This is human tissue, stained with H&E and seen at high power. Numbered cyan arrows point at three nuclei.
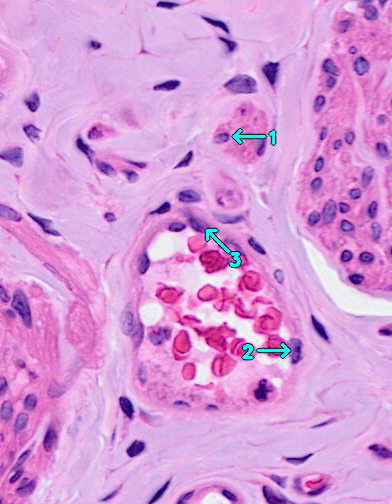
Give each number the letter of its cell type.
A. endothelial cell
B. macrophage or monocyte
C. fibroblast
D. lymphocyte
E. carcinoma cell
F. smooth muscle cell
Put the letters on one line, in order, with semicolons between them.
F; A; A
